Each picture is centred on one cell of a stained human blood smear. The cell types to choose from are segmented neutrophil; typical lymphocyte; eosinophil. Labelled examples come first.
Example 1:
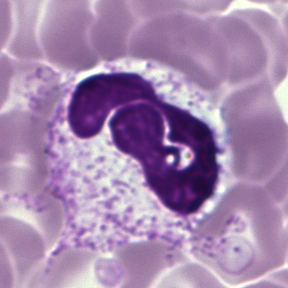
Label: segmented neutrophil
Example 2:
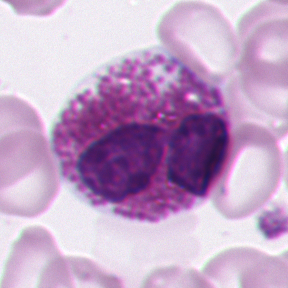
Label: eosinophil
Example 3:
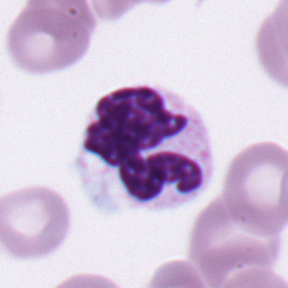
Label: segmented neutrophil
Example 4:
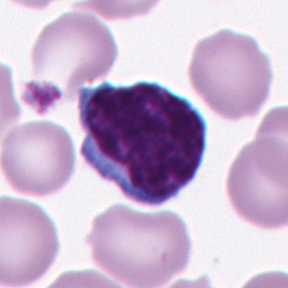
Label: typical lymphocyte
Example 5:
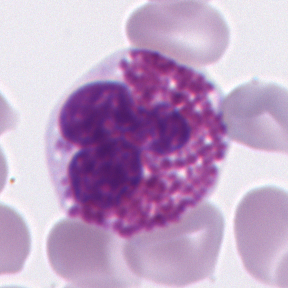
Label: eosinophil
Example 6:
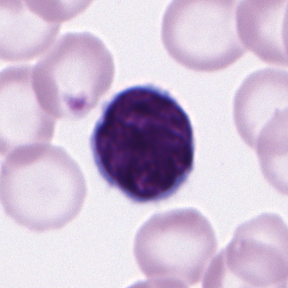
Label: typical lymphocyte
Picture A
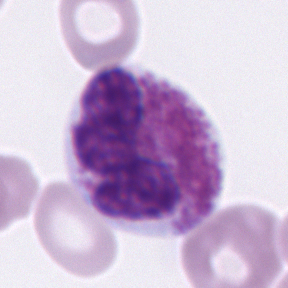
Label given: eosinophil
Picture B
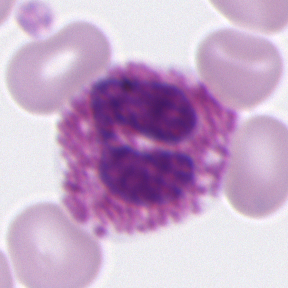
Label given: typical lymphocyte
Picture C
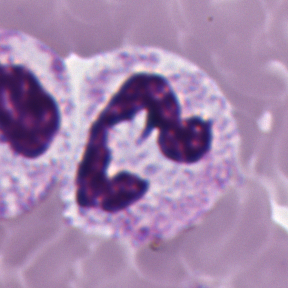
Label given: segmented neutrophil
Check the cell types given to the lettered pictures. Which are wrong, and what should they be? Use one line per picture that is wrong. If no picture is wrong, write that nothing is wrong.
B is labelled typical lymphocyte; correct label: eosinophil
